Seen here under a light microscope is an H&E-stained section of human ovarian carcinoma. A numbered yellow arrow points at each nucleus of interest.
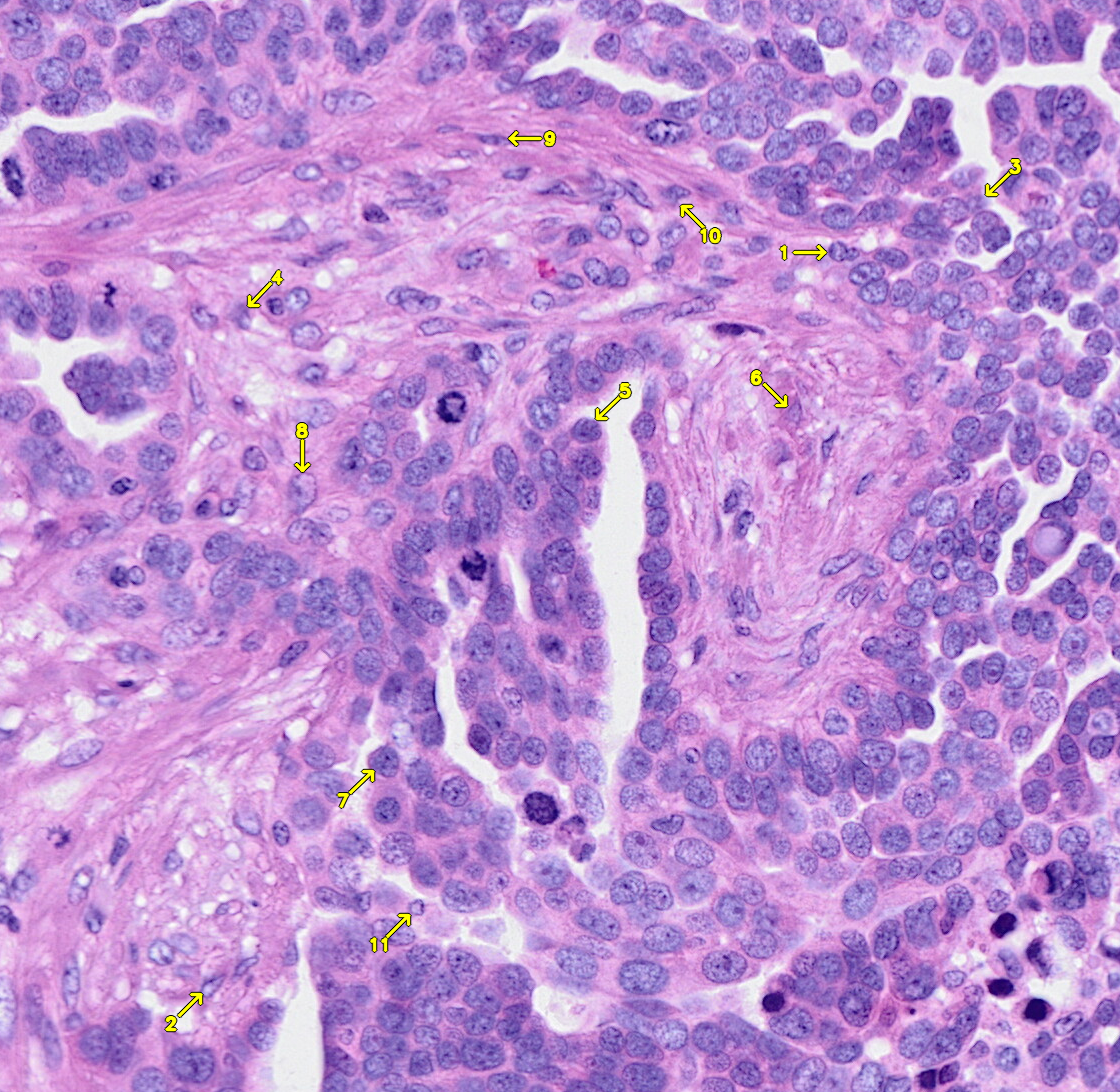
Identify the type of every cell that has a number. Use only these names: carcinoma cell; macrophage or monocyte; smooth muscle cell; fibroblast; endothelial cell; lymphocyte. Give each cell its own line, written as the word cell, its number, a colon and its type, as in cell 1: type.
cell 1: macrophage or monocyte
cell 2: fibroblast
cell 3: carcinoma cell
cell 4: fibroblast
cell 5: carcinoma cell
cell 6: fibroblast
cell 7: carcinoma cell
cell 8: fibroblast
cell 9: fibroblast
cell 10: fibroblast
cell 11: macrophage or monocyte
